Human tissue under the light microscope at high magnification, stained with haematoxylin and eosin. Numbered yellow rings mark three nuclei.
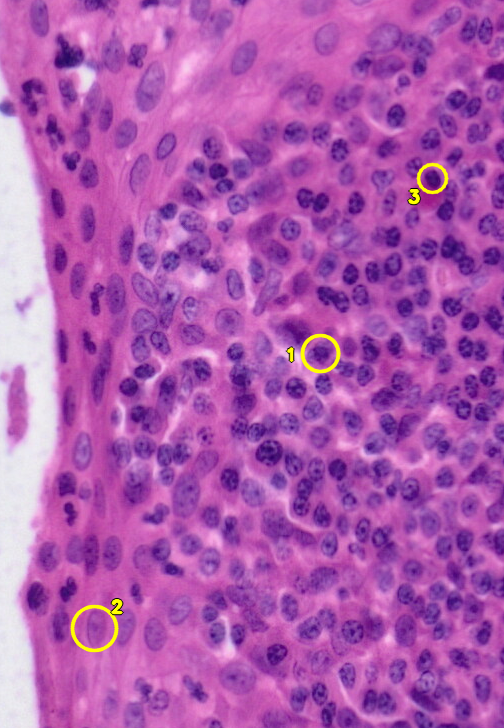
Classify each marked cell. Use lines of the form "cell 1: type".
cell 1: plasma cell
cell 2: squamous epithelial cell
cell 3: plasma cell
